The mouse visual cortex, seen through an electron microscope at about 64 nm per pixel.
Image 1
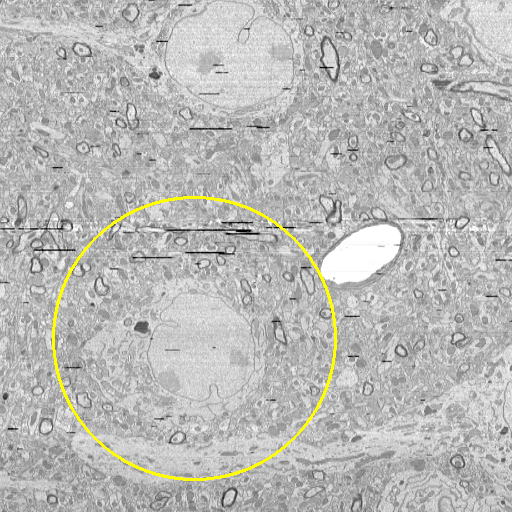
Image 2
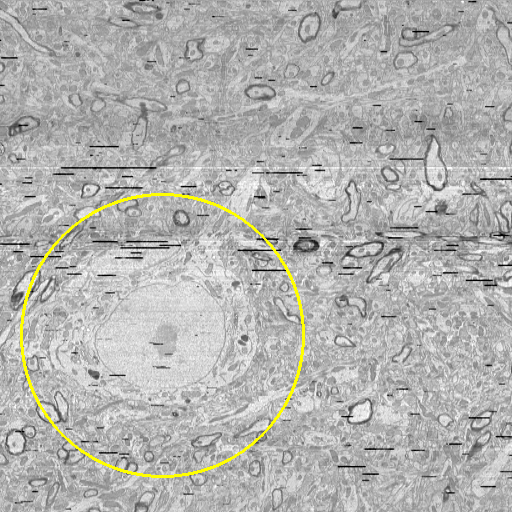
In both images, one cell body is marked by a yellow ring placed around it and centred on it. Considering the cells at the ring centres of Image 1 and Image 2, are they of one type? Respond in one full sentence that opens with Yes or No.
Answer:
Yes, a single type applies to the ring-centred cells of both Image 1 and Image 2.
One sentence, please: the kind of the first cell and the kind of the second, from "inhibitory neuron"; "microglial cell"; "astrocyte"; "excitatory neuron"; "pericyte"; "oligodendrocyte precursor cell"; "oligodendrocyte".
The second cell is an excitatory neuron, just as the first is.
